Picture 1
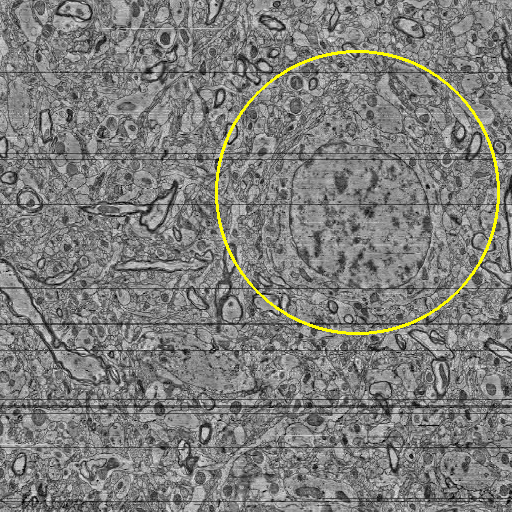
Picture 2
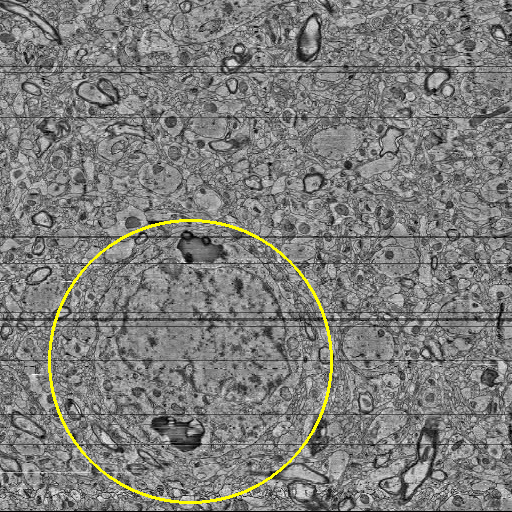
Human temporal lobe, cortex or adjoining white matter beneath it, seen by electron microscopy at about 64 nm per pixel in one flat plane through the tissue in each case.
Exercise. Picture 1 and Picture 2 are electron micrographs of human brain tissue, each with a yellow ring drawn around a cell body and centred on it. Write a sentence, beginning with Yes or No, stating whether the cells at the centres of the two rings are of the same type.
Yes, the cells at the centres of both rings are of the same type.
